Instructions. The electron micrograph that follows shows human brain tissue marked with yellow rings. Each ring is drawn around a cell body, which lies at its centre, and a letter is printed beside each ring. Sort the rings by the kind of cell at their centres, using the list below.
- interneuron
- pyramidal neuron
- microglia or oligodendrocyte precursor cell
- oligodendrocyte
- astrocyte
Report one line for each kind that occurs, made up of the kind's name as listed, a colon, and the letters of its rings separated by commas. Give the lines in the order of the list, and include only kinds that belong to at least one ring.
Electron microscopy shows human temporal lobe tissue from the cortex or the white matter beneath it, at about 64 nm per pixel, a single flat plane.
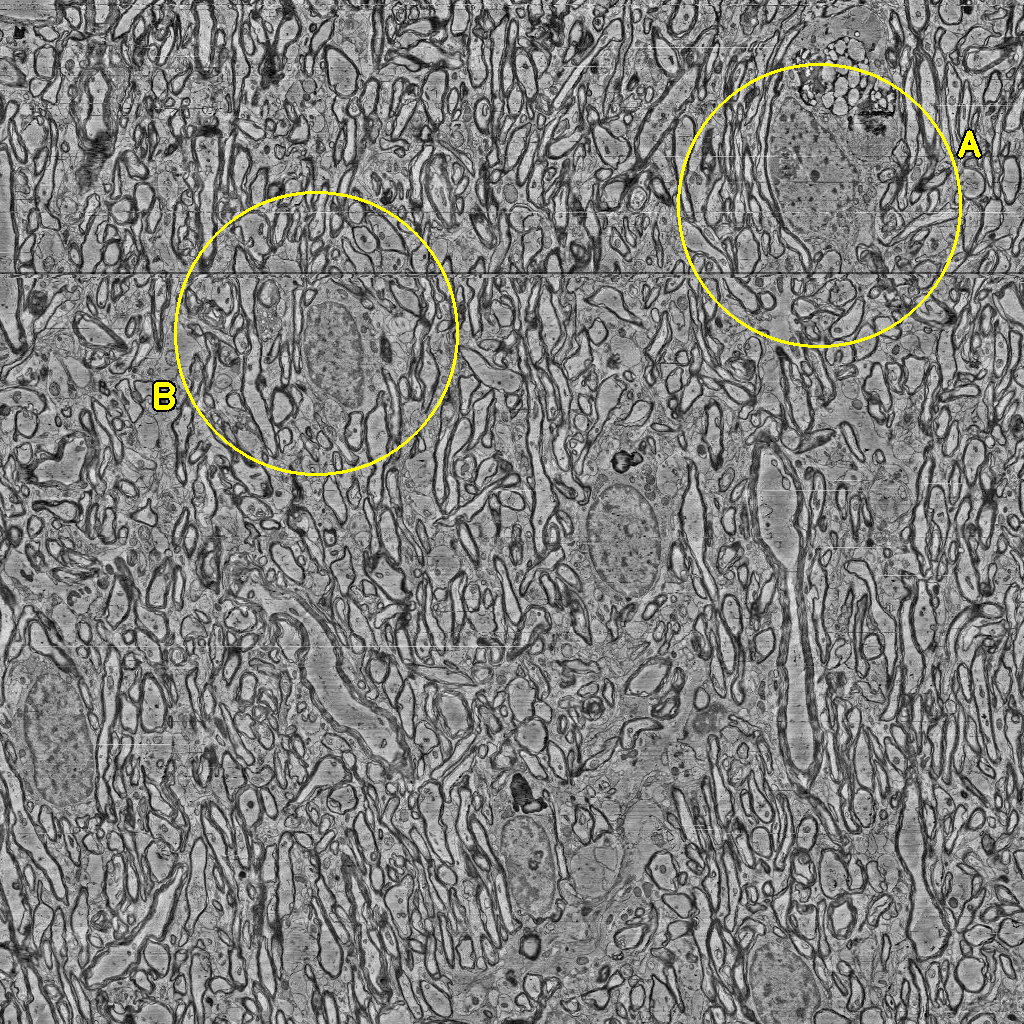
oligodendrocyte: B
astrocyte: A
